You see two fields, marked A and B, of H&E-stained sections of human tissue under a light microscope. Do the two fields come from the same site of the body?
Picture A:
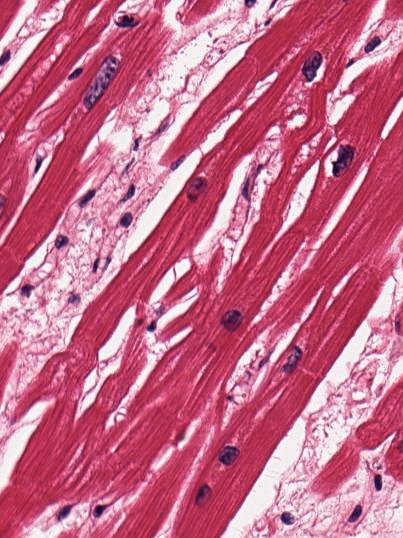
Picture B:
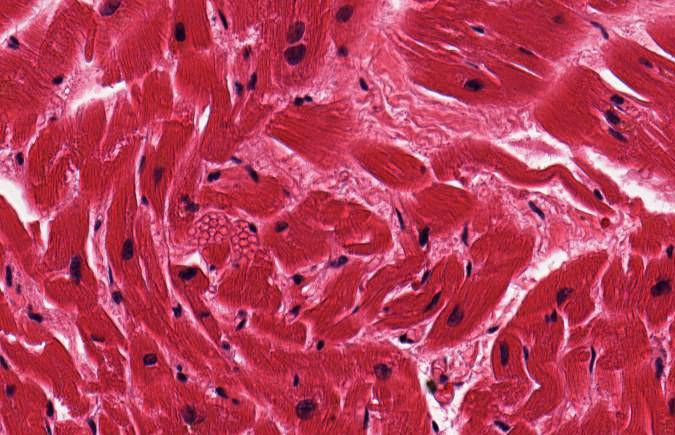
yes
